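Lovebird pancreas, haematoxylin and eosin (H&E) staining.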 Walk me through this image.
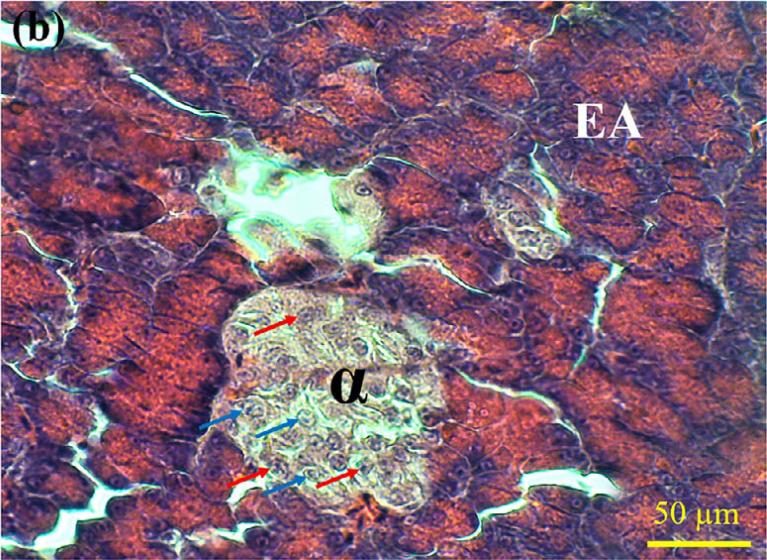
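A large, rounded pale cluster of cells with round nuclei and lightly stained cytoplasm sits among tightly packed glandular units whose cells have red cytoplasm and purple nuclei toward their bases. Small empty clefts and a pale space lie nearby in the tissue. The pale cluster is a pancreatic islet of endocrine cells, and the surrounding red glandular units are exocrine acini.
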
